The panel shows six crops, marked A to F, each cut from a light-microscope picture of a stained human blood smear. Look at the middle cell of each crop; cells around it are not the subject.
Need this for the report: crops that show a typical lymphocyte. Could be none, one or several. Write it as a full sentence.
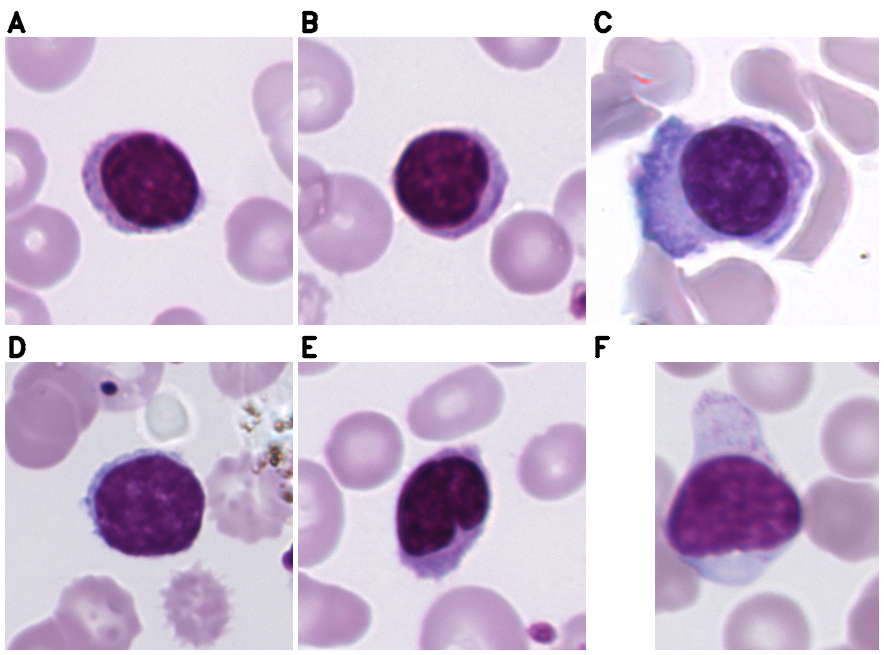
Crops A, B, D and E have typical lymphocytes as the central cells.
